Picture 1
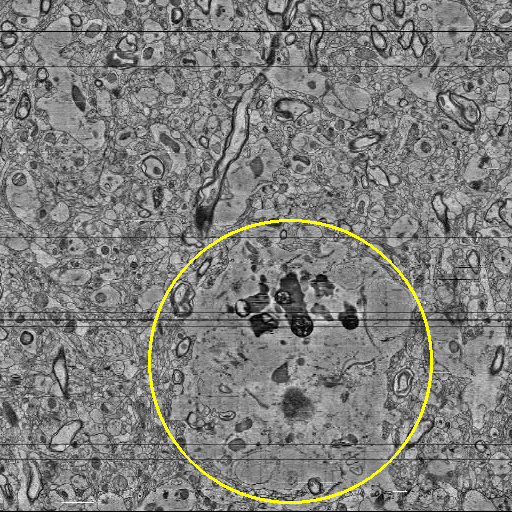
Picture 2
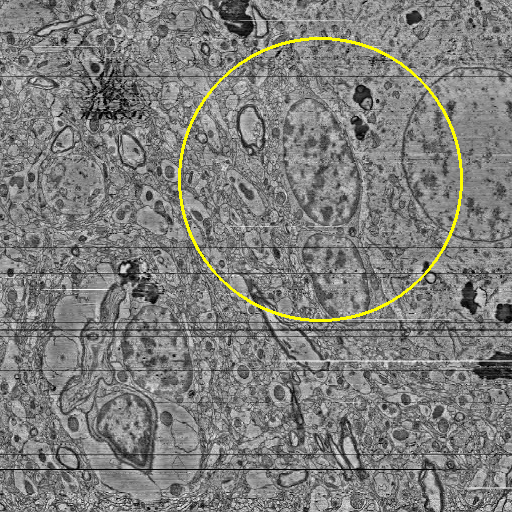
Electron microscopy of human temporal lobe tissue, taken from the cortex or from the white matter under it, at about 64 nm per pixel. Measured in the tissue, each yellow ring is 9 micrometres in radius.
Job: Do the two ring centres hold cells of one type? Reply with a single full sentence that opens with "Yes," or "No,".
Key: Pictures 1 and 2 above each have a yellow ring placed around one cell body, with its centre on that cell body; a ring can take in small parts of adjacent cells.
No, the cells at the two ring centres are of two separate types.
